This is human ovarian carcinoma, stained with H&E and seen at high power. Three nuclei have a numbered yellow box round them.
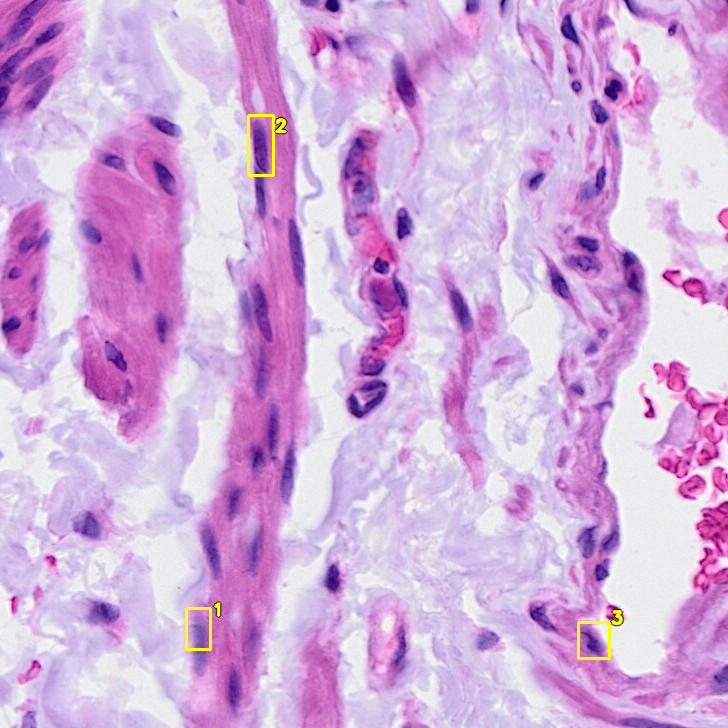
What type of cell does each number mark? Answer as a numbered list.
1. smooth muscle cell
2. smooth muscle cell
3. endothelial cell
